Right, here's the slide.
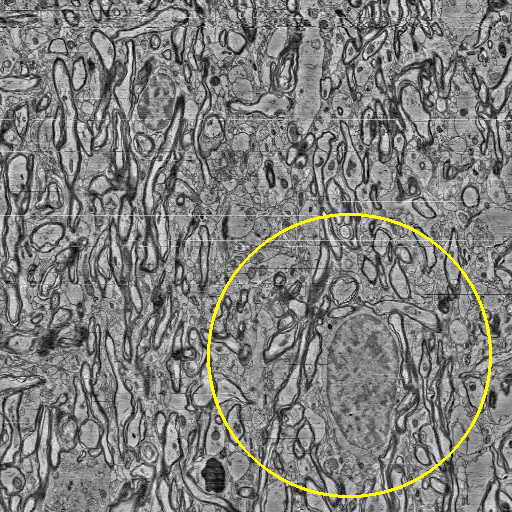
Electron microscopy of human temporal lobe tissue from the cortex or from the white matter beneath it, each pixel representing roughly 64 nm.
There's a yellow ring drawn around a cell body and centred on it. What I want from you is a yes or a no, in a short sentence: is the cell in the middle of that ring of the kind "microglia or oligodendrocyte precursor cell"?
No, it's of some other kind.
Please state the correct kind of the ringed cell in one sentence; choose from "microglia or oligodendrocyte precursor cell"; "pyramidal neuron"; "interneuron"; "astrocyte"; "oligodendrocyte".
Instead, the ring surrounds an oligodendrocyte in this picture.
